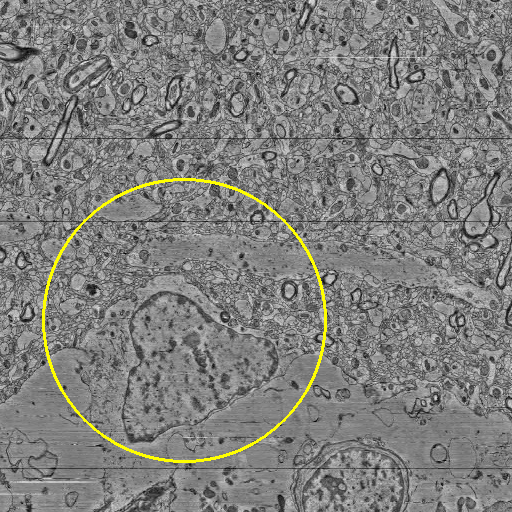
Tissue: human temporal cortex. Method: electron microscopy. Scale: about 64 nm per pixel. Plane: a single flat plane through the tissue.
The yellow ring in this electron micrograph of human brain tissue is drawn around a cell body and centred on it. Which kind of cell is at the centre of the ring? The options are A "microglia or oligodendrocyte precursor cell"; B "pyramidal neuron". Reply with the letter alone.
A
